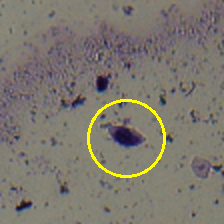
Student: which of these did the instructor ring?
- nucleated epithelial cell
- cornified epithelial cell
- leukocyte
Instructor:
The cell I ringed is a nucleated epithelial cell.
